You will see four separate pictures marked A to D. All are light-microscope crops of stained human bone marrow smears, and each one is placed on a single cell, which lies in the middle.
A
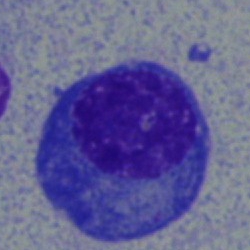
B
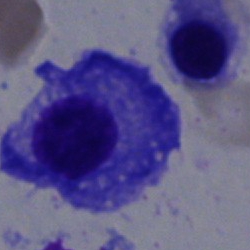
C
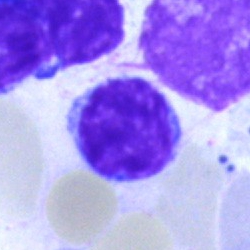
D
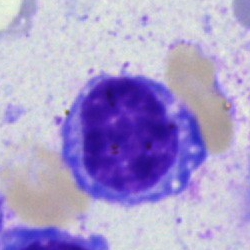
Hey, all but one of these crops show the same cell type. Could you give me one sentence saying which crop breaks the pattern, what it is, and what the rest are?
Crop C does not match the others; it shows a lymphocyte, and they show plasma cells.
